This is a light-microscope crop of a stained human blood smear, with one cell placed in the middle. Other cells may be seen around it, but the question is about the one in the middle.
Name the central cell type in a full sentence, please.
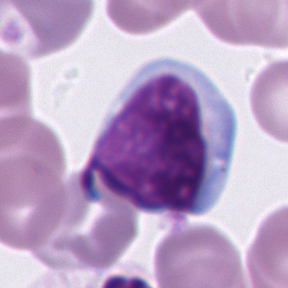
The cell at the middle of the crop is recognized as a typical lymphocyte.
